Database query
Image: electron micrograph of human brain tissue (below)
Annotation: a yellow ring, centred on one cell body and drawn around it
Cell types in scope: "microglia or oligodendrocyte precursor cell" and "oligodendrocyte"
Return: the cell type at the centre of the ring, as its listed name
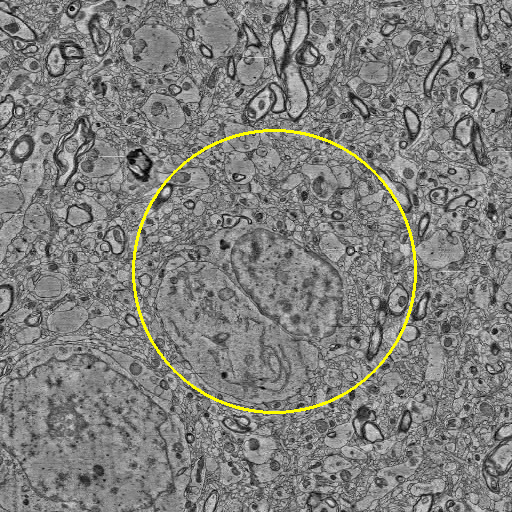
oligodendrocyte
